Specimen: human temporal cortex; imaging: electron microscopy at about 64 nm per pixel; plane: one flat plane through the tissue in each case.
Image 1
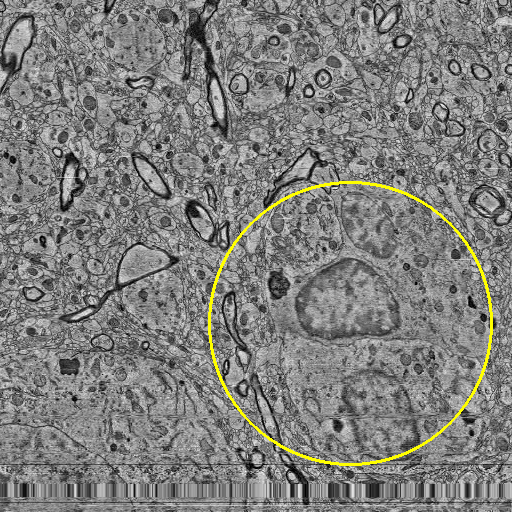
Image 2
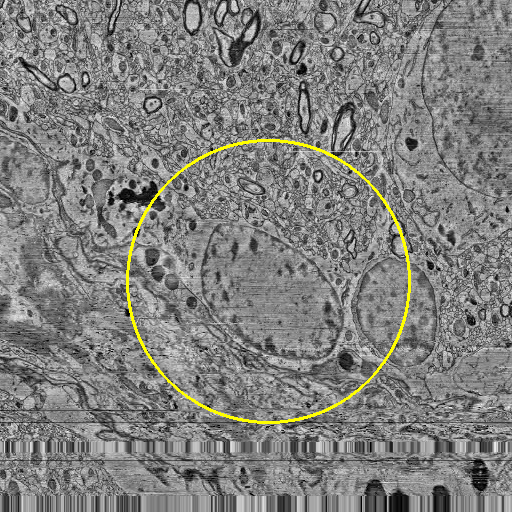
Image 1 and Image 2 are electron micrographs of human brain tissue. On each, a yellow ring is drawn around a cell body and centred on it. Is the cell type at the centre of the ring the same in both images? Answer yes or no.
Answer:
no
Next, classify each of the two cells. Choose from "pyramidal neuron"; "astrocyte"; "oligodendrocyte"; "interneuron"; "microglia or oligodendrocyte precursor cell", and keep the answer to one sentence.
In the first picture it is an oligodendrocyte; in the second it is an astrocyte.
